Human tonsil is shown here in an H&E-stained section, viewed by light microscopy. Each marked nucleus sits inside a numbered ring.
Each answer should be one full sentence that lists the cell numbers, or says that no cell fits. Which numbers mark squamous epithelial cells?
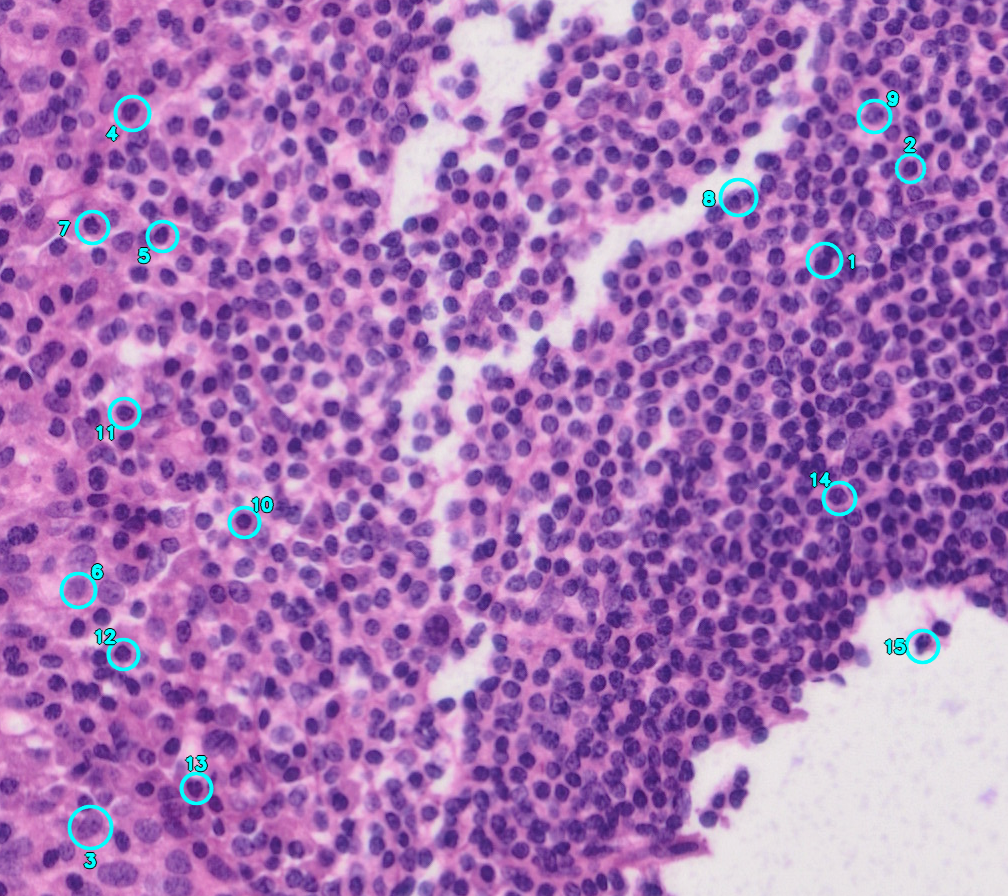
The cells picked out by numbers 3 and 6 are squamous epithelial cells.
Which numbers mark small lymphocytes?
Identification: the cells with numbers 1, 2, 8, 9, 14 and 15 are small lymphocytes.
